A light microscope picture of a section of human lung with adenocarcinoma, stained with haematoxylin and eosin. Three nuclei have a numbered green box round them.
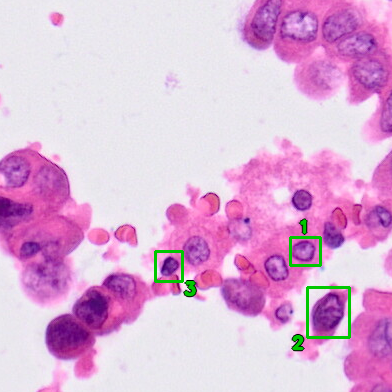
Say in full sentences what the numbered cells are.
Cell 1 is a macrophage or monocyte. Cell 2 is a carcinoma cell. Cell 3 is a lymphocyte.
